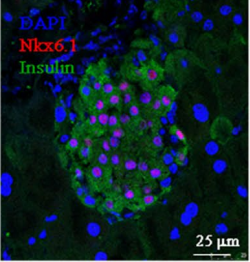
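A pancreatic islet appears as a rounded, compact cluster of small, tightly packed cells whose cytoplasm is bright green. Most nuclei within the cluster appear pink-magenta where red overlaps the blue nuclear stain, while a few nuclei at the edge of the cluster remain blue. Around the islet lie larger cells with faint, greyish-green cytoplasm and scattered blue nuclei.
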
